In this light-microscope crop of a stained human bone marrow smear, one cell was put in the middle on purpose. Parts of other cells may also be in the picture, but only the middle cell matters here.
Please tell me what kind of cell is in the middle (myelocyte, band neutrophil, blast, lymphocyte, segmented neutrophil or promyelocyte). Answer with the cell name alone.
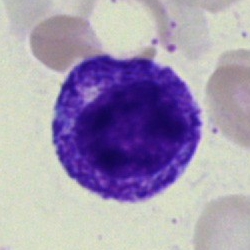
myelocyte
